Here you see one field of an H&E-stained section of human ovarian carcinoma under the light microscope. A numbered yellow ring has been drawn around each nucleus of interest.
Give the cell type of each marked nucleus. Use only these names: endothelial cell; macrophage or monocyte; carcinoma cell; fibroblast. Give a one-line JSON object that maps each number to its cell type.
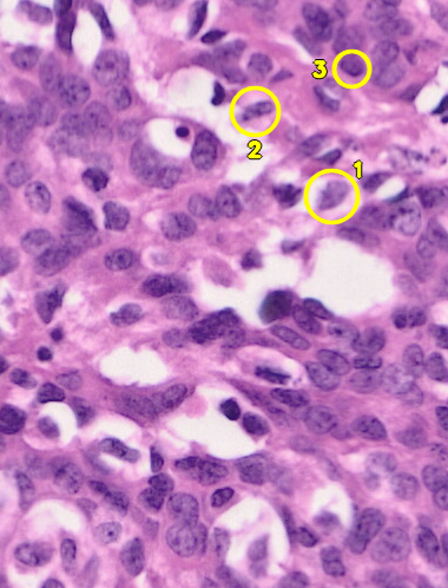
{"1": "carcinoma cell", "2": "macrophage or monocyte", "3": "carcinoma cell"}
